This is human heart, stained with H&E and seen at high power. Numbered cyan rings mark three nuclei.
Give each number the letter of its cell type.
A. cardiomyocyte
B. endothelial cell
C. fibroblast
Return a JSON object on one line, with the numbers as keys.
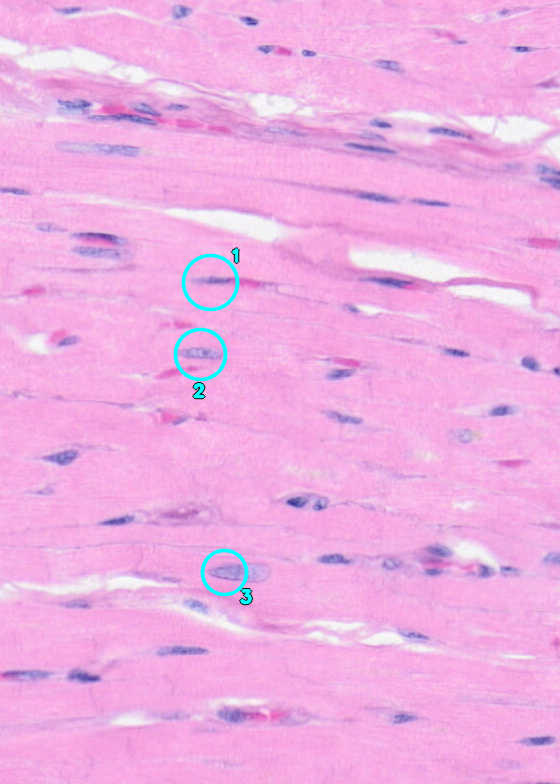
{"1": "B", "2": "A", "3": "A"}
